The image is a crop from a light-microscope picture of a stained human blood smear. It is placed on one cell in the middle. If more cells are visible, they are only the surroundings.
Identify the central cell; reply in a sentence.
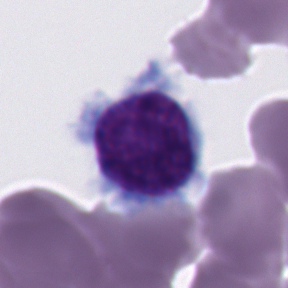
The single cell at the center of the crop is a hairy cell.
